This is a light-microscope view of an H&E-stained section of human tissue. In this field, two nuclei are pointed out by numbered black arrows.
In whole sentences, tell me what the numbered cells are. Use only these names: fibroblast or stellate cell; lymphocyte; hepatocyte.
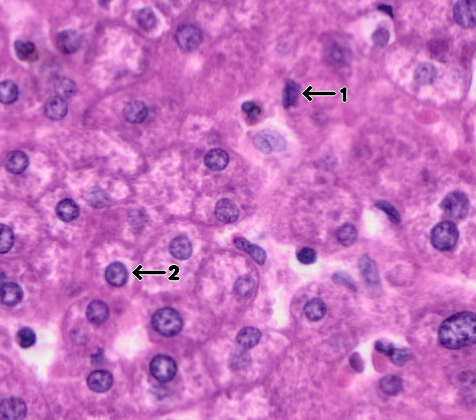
Cell 1 is a fibroblast or stellate cell and cell 2 is a hepatocyte.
